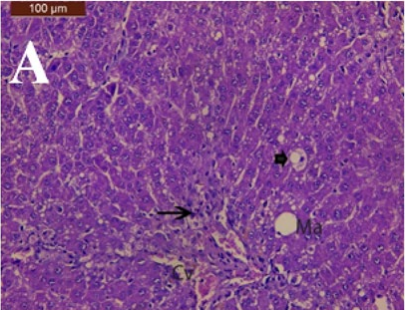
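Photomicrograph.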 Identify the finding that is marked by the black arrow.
Mild inflammatory cells infiltration.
